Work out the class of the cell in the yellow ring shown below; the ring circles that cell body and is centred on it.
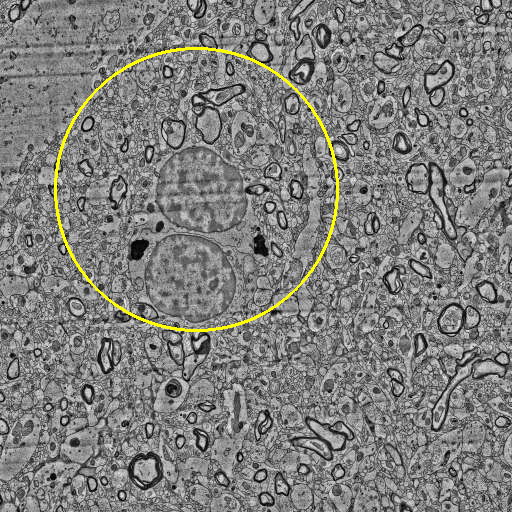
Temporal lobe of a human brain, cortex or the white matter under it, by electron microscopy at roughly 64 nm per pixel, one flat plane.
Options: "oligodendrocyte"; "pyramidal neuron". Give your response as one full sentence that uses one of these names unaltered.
The body ringed in yellow, right at the ring's centre, is that of an oligodendrocyte.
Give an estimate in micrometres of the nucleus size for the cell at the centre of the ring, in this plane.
In this plane, approximately 7 by 5 micrometers.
